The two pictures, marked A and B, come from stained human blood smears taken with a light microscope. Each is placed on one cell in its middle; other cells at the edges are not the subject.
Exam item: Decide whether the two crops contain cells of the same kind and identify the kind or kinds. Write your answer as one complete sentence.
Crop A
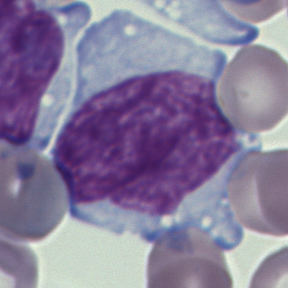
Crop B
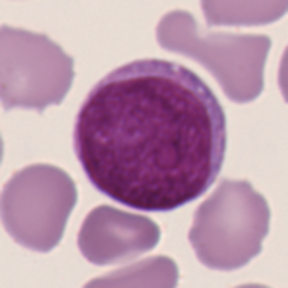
Yes, it is myeloblasts that both crops show.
